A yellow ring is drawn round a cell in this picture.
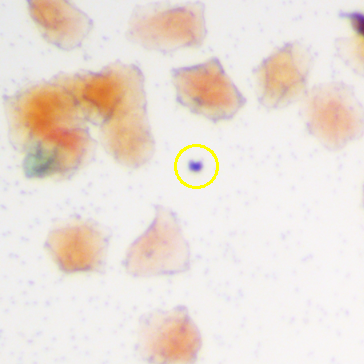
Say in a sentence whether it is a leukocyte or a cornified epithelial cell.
The cell in the ring is a leukocyte.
